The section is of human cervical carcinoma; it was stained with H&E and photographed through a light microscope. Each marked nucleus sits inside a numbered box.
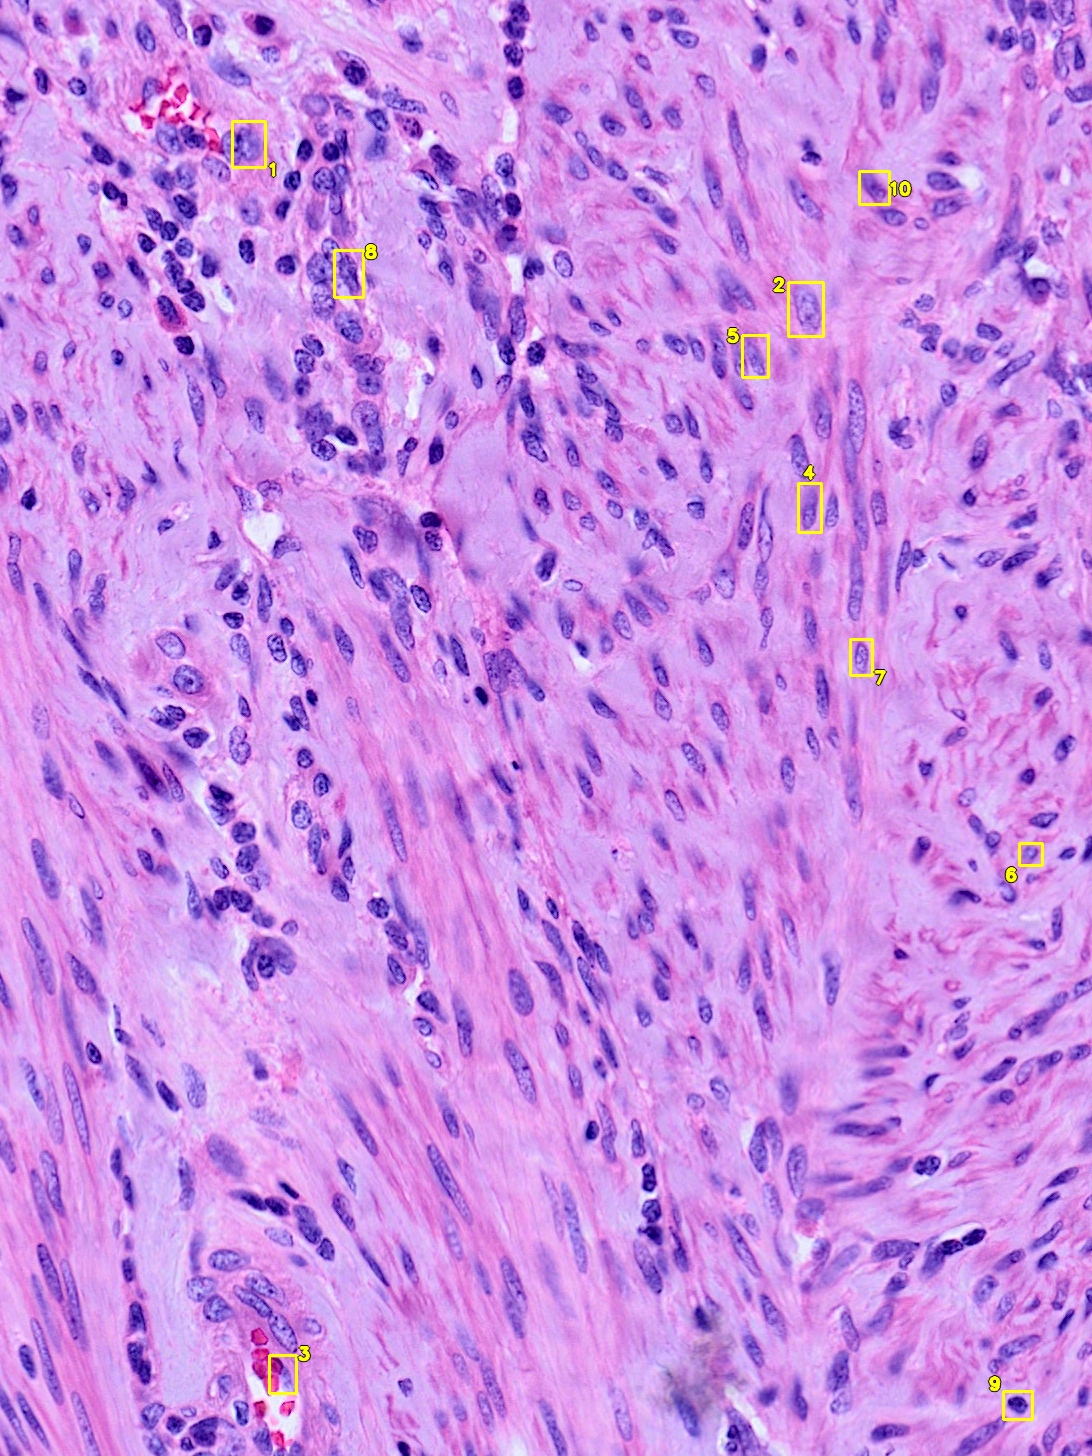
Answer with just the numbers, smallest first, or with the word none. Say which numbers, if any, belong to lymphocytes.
9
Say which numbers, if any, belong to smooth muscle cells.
2, 4, 5, 6, 7, 10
